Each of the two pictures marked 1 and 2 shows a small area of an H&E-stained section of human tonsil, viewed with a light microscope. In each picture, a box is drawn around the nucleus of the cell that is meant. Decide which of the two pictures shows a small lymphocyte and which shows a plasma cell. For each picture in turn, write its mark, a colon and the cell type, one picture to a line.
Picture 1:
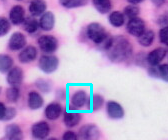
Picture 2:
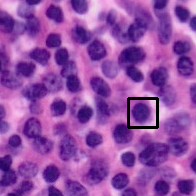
1: small lymphocyte
2: plasma cell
